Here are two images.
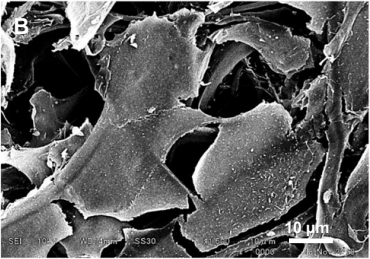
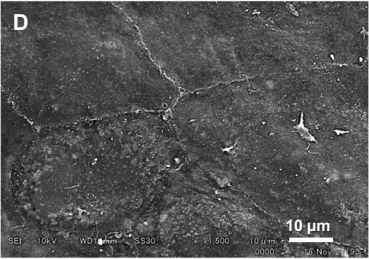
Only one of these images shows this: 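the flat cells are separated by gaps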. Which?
The first image.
